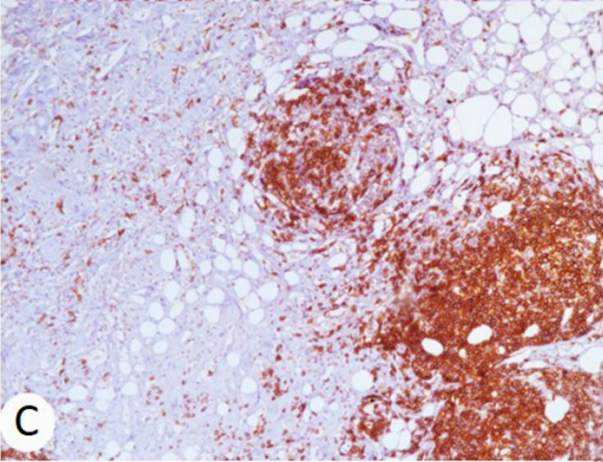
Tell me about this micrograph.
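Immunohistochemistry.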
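Here we look at lymphoid follicles lying in fatty connective tissue. Toward the left the stroma is pale blue and fibrous, and only scattered brown cells are strewn through it, singly or in small groups, far sparser than inside the nodules.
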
